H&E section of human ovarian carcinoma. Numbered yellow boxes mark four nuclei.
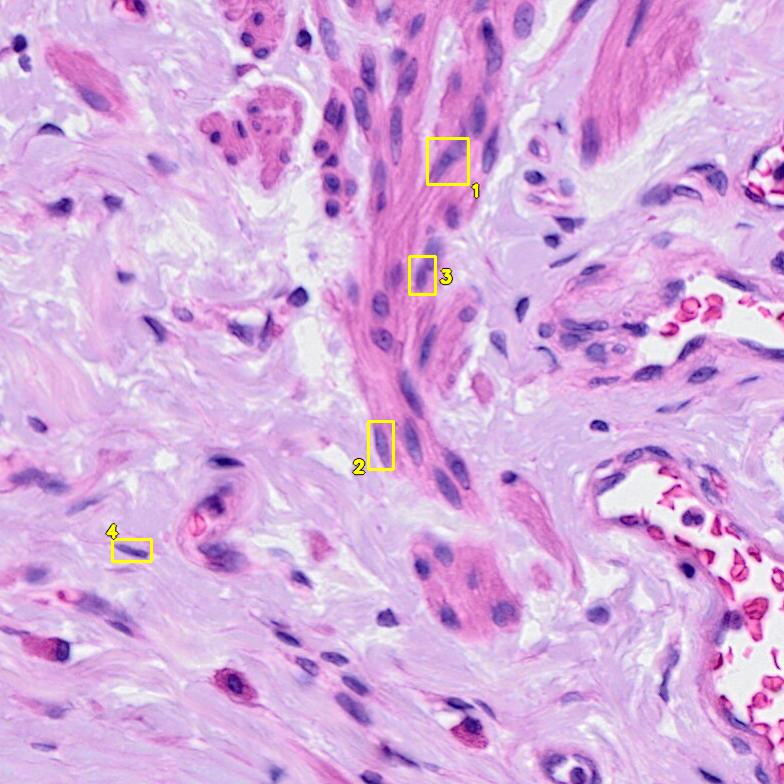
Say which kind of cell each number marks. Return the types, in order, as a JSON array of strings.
["smooth muscle cell", "smooth muscle cell", "smooth muscle cell", "fibroblast"]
